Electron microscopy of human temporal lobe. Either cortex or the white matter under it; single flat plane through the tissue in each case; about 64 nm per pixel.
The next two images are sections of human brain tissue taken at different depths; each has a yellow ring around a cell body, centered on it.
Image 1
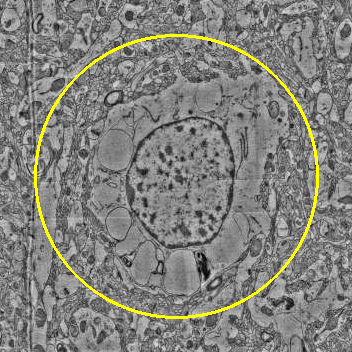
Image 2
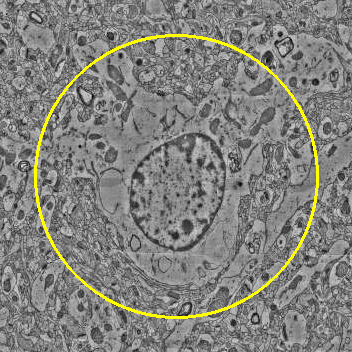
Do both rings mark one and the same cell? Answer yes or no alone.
yes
